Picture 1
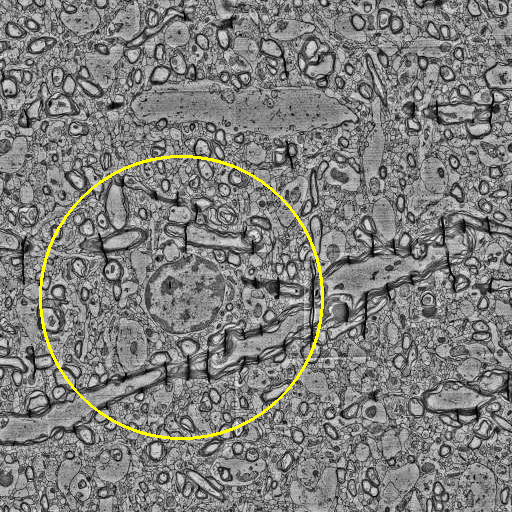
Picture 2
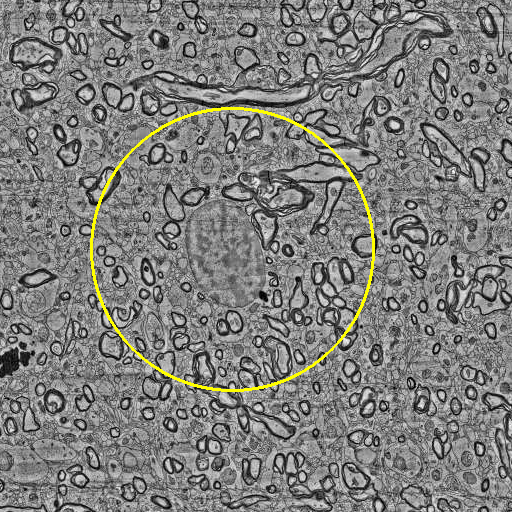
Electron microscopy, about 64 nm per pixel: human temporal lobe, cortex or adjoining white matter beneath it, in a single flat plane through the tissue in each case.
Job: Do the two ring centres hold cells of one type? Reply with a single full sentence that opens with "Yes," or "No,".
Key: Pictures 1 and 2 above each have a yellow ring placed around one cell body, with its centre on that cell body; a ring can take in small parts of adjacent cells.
No, the cells at the two ring centres are of two separate types.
